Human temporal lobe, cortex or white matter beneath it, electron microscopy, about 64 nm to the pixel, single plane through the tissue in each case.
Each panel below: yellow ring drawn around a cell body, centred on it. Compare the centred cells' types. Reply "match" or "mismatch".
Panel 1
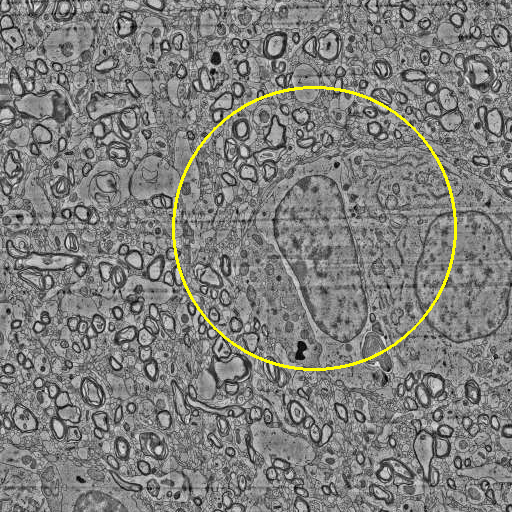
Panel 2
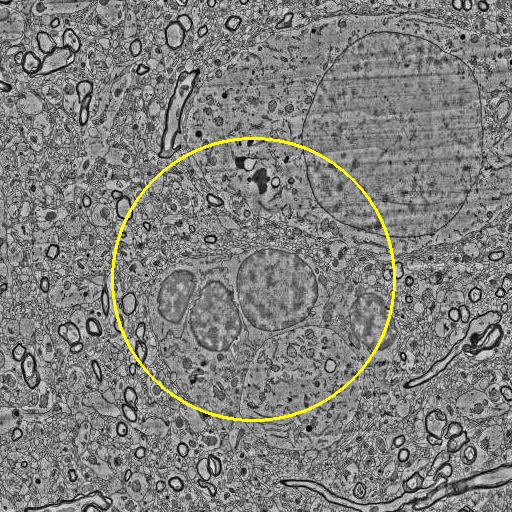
mismatch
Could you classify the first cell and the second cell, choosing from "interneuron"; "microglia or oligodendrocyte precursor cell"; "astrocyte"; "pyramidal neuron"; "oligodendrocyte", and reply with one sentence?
The second cell is an oligodendrocyte, while the first is a microglial cell or oligodendrocyte precursor cell.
